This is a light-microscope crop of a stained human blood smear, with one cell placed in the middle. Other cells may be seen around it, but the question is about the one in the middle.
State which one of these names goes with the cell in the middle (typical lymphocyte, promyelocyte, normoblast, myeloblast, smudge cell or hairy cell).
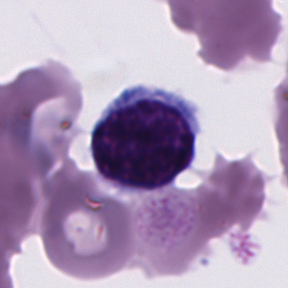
hairy cell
